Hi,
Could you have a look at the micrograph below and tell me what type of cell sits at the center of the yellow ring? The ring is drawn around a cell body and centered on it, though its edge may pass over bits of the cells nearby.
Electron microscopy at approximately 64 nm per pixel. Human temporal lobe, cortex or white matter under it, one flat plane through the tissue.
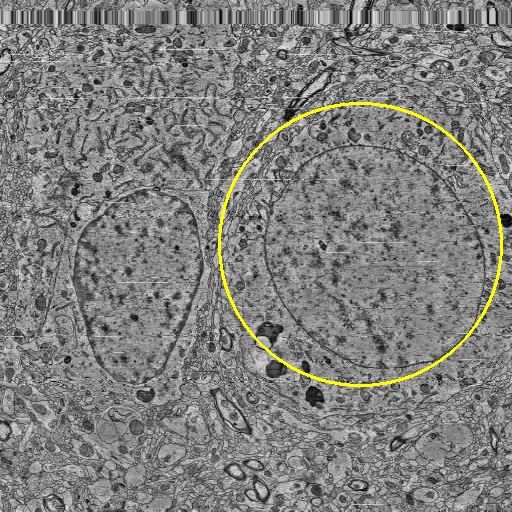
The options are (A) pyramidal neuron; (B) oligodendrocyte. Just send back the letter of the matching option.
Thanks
A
